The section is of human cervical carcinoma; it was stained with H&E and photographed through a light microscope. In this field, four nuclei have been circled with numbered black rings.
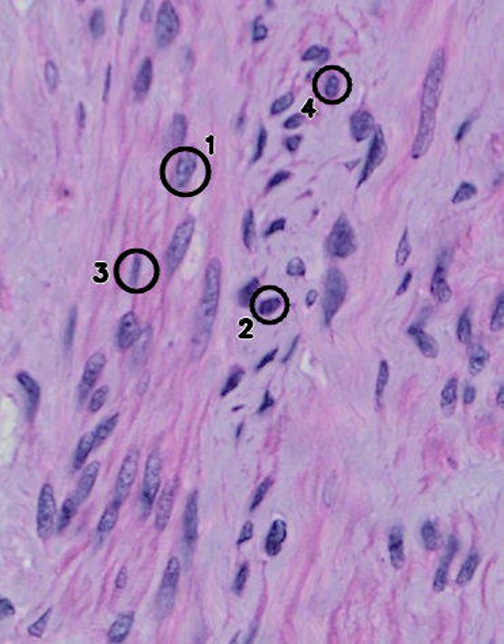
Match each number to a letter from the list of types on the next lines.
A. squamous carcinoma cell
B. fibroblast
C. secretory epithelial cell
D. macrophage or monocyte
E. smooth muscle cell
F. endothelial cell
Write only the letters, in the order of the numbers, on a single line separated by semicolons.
E; B; E; E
